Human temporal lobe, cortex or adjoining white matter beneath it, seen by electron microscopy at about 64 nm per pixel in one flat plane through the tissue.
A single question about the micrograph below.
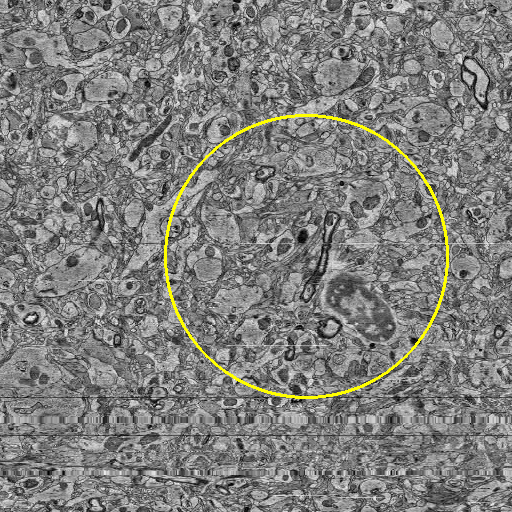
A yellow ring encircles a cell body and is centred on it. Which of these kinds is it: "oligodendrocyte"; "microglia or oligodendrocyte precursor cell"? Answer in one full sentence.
The cell body at the centre of the yellow ring belongs to a microglial cell or oligodendrocyte precursor cell.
